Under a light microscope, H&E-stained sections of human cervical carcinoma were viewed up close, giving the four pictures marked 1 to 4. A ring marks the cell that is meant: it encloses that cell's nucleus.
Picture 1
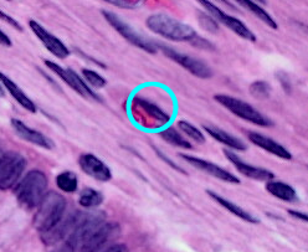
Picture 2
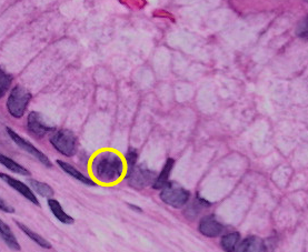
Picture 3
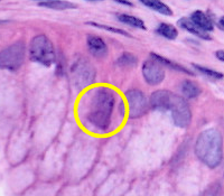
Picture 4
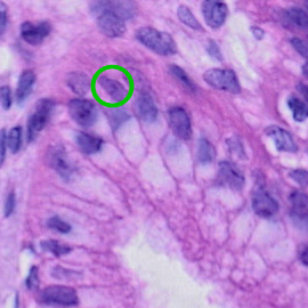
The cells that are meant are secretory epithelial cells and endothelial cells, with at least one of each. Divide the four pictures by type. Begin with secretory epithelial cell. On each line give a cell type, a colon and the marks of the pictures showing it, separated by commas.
secretory epithelial cell: 2, 3, 4
endothelial cell: 1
